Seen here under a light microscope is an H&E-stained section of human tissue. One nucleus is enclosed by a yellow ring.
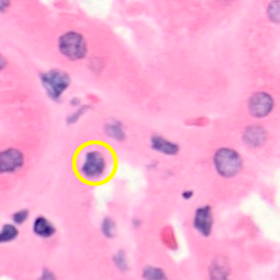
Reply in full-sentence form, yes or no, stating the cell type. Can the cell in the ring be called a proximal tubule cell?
No, the cell in the ring is a loop of Henle or distal tubule cell in this section, not a proximal tubule cell.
